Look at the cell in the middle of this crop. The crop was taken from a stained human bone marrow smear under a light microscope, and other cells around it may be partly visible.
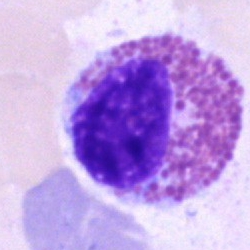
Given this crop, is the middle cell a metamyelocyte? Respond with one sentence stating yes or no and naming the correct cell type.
No, the cell in the middle of the field is an eosinophil, not a metamyelocyte as suggested.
